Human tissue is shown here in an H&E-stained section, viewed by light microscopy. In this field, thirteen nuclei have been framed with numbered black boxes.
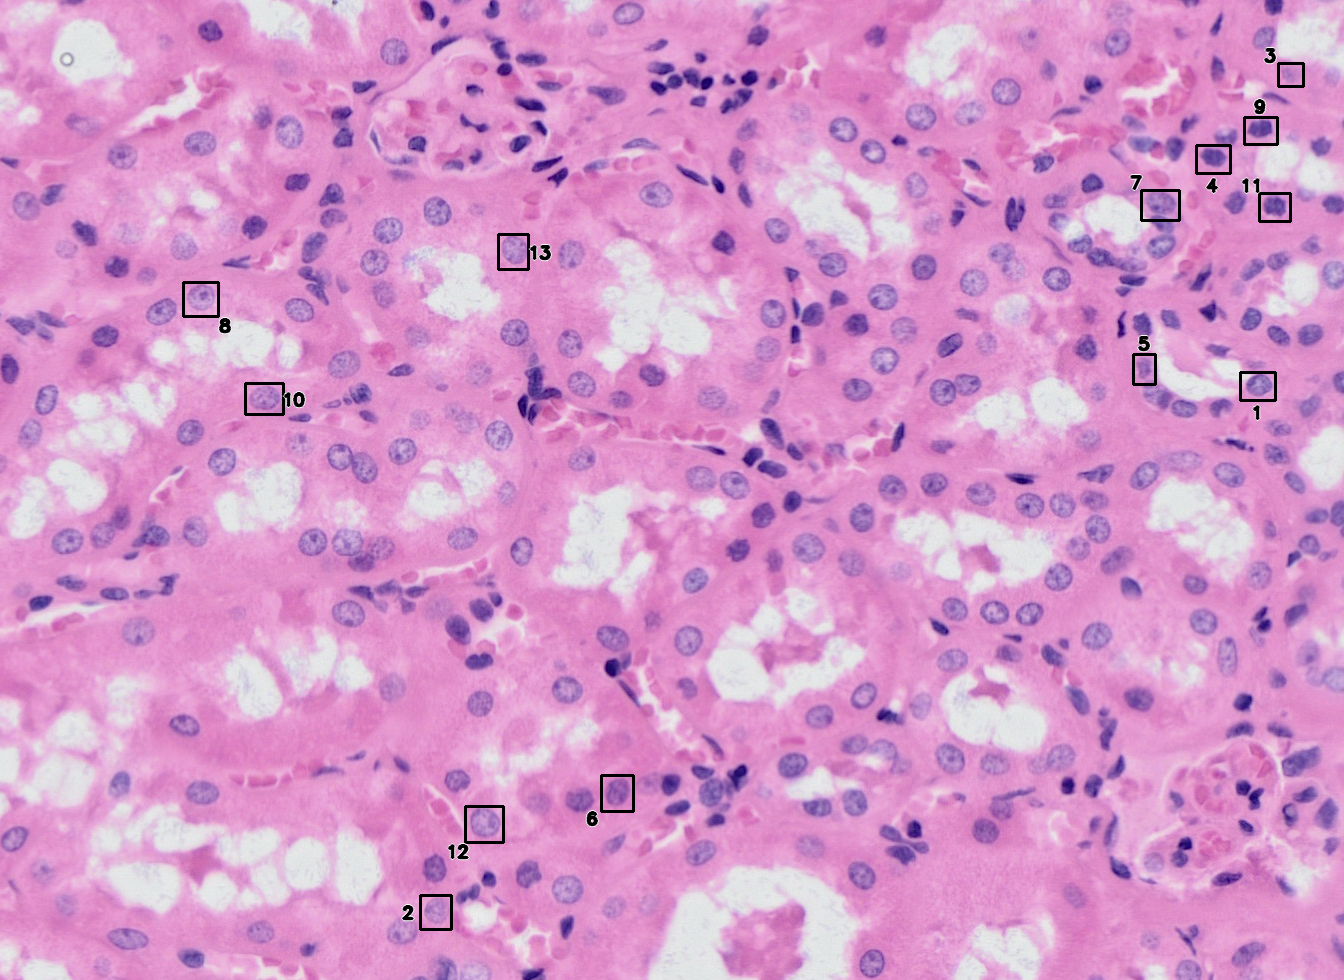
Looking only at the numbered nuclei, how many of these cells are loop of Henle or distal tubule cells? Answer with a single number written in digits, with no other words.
6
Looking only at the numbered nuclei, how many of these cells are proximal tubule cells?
6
